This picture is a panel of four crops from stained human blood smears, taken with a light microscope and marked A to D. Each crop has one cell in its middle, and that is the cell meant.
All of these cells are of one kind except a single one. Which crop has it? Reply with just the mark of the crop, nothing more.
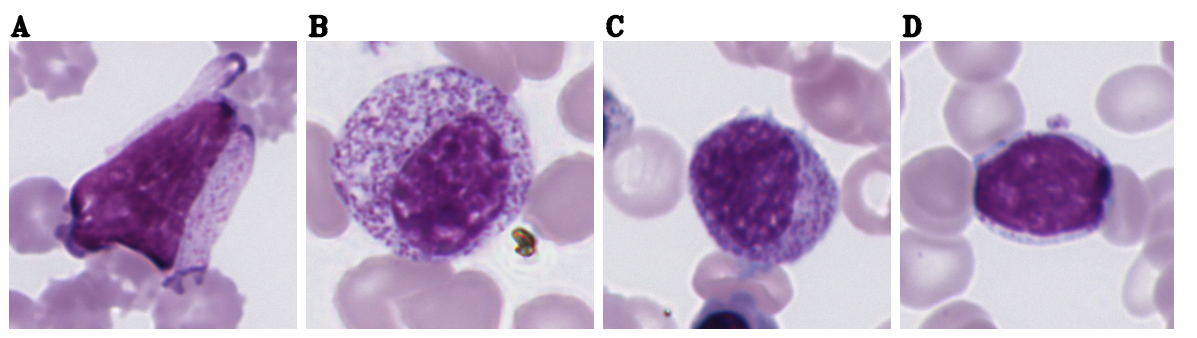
D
